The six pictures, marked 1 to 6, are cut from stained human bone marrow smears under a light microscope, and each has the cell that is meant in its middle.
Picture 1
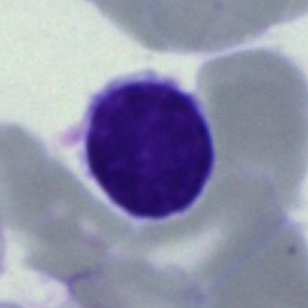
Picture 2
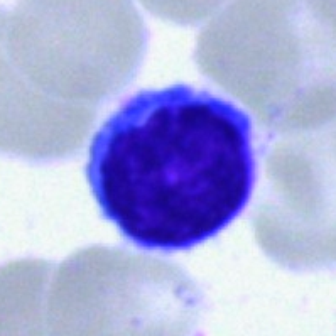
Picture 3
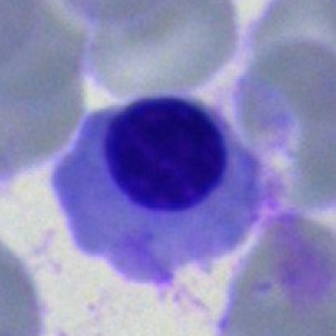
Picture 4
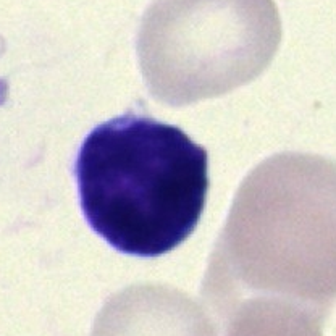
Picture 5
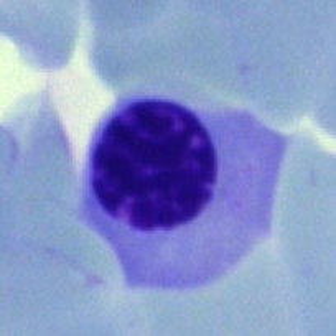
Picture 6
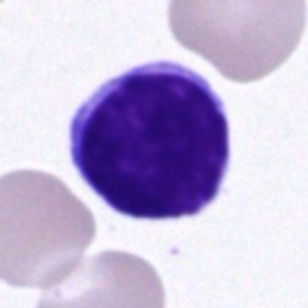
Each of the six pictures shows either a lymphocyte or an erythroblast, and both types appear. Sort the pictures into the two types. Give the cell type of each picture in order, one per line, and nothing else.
lymphocyte
lymphocyte
erythroblast
lymphocyte
erythroblast
lymphocyte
